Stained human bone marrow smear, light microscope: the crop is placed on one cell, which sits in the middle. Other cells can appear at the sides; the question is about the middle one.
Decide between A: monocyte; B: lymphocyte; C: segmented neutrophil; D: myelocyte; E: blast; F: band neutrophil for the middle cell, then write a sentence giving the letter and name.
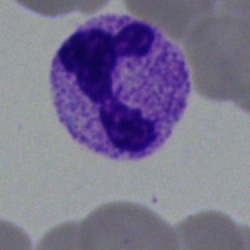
Occupying the middle of the crop is a segmented neutrophil, hence option C is correct.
